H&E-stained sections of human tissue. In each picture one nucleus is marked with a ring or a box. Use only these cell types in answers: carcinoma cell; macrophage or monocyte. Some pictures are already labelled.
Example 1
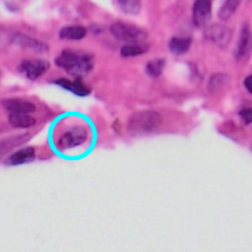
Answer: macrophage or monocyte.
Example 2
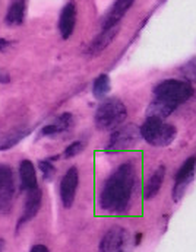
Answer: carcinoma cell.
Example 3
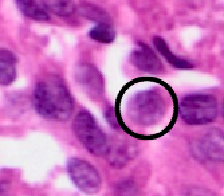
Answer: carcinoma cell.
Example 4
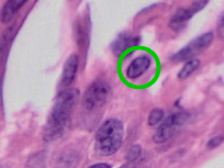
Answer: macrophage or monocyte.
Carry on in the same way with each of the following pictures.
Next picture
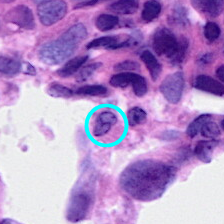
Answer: macrophage or monocyte.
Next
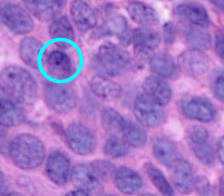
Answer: carcinoma cell.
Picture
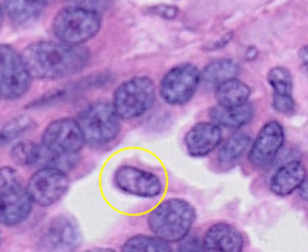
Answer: macrophage or monocyte.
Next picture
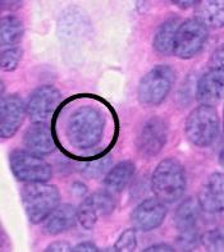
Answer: carcinoma cell.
